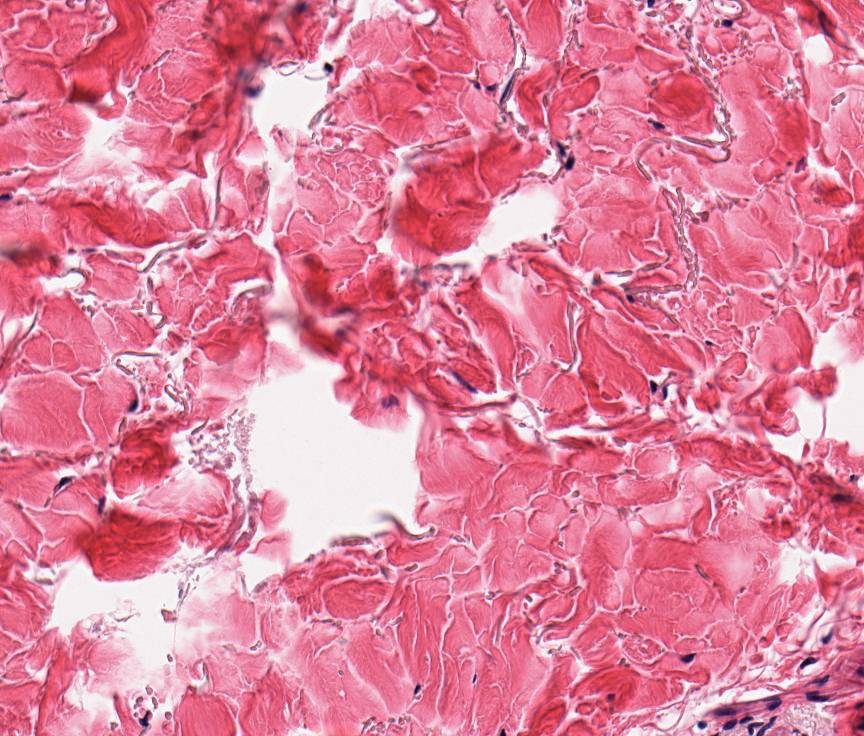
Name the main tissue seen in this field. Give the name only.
dermis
